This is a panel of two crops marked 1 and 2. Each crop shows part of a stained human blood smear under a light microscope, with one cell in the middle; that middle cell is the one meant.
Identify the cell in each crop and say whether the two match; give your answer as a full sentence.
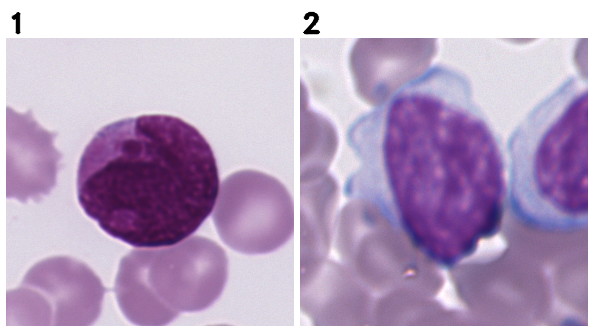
Yes, the two crops show myeloblasts, both of them.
